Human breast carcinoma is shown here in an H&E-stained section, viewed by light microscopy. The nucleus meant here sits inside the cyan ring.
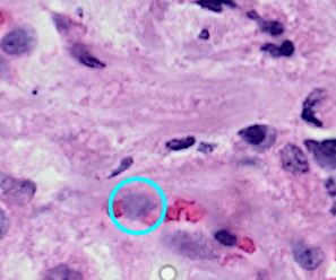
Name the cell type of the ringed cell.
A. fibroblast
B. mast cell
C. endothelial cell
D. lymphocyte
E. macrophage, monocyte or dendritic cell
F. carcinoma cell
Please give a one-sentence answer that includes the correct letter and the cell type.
Option C describes the ringed cell accurately as an endothelial cell.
